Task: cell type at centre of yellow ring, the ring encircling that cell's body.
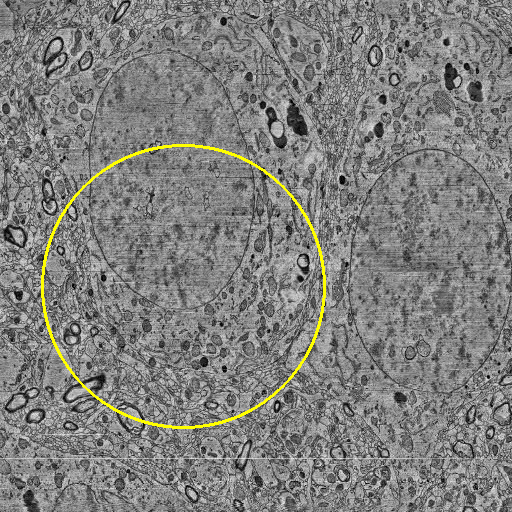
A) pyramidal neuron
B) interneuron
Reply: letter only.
A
